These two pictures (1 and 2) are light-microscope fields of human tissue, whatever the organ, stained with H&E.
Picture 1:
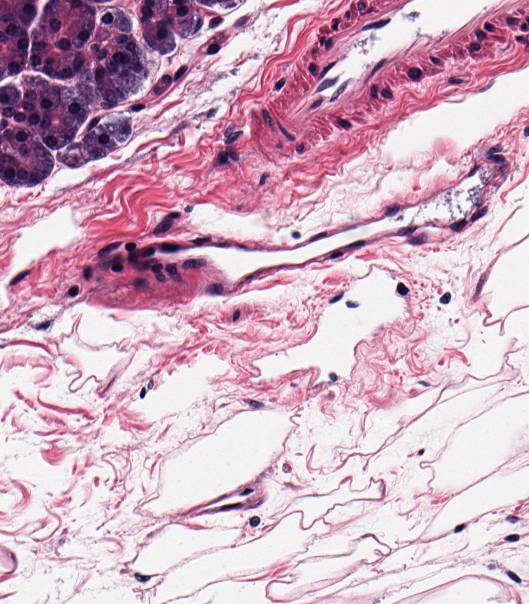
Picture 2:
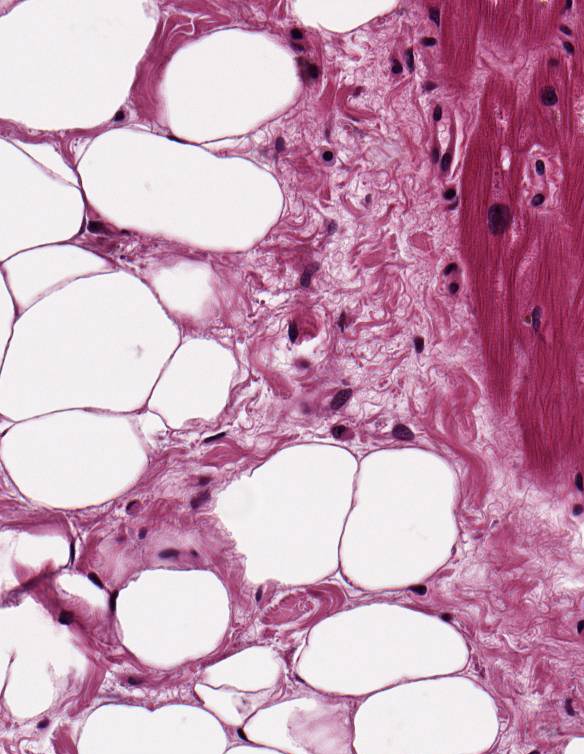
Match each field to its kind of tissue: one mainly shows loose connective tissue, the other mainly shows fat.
1: loose connective tissue
2: fat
